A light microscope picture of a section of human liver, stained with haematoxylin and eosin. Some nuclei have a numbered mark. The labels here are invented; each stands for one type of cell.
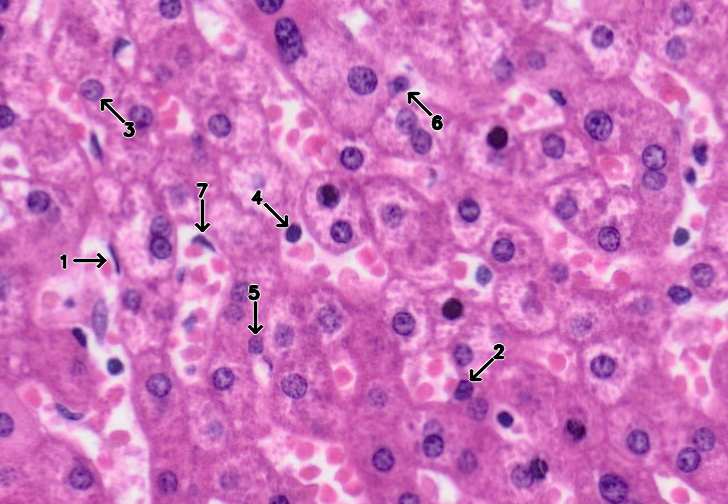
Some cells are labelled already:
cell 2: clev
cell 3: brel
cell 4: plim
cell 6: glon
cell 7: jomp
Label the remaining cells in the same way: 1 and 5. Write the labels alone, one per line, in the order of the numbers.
jomp
clev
